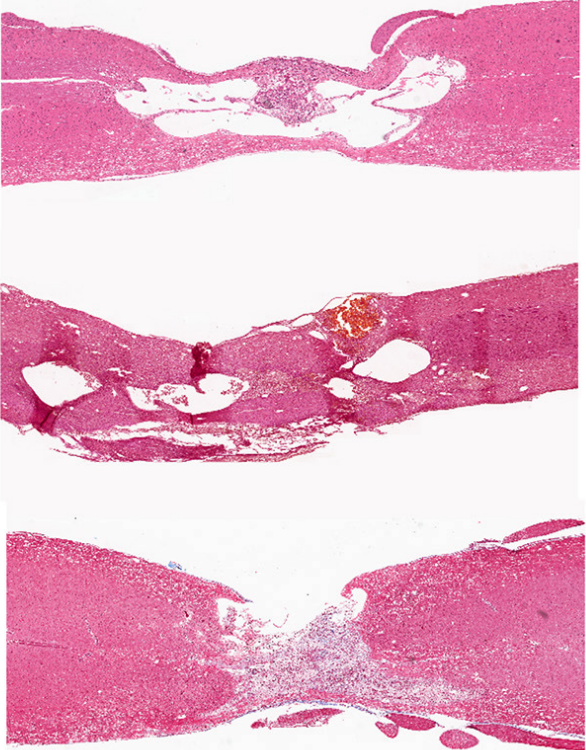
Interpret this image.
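Three low-power longitudinal sections of spinal cord stained with haematoxylin and eosin, each pink along its length with a lesion at its centre. In the upper section the centre is taken by a large clear cavity with smaller clear spaces around it, and a clump of purple-stained material lies inside the cavity. In the middle section several rounded clear spaces are scattered through the tissue, and a patch of bright red blood lies near the upper edge. In the lower section the tissue stays continuous across the narrowed centre, which is filled by paler, loosely textured tissue with scattered purple nuclei and a bluish tint.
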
